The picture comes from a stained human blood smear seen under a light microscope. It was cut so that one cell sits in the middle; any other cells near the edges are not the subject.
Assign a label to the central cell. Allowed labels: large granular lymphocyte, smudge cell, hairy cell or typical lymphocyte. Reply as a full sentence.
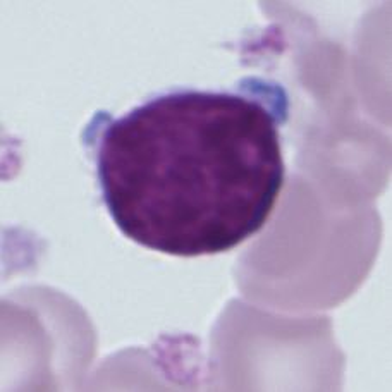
Of the cells in this crop, the central one is a typical lymphocyte.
